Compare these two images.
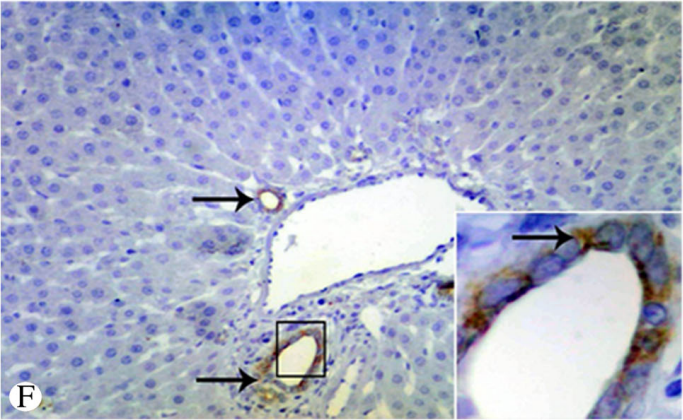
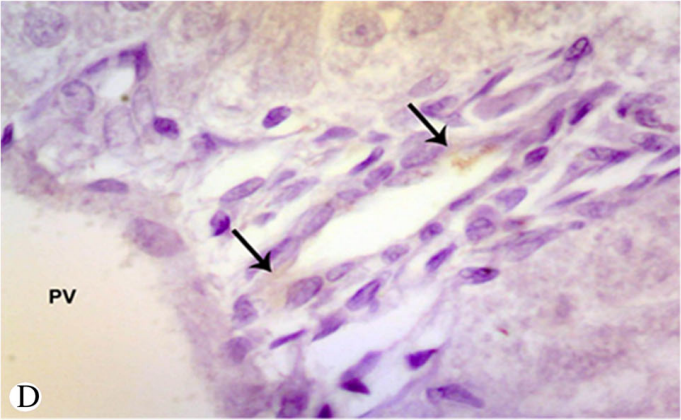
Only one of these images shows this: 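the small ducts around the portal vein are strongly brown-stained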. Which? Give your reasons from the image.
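The first image. First image: ductular profiles beside the vessel have distinctly brown walls. Second image: cells beside the vessel show only faint traces of brown.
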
